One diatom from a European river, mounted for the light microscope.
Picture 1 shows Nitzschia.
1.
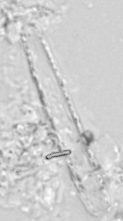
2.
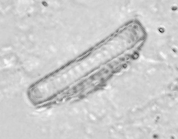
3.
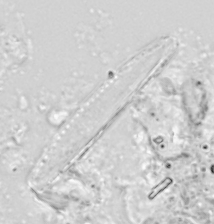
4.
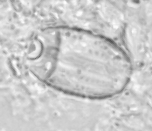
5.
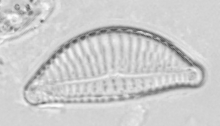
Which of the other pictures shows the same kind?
Picture 3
